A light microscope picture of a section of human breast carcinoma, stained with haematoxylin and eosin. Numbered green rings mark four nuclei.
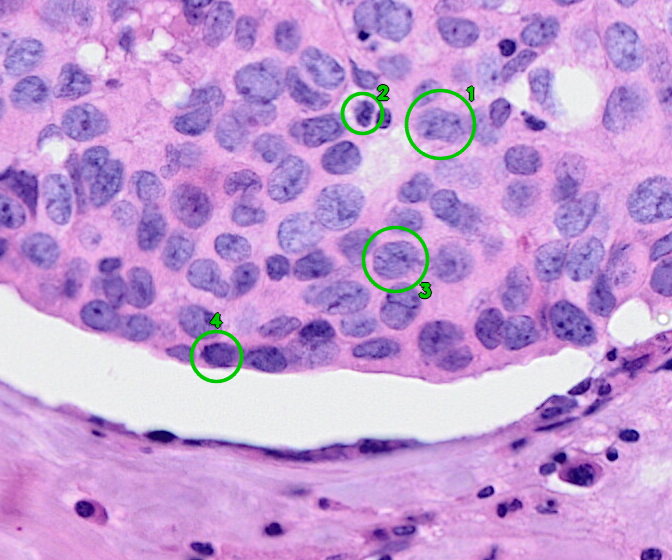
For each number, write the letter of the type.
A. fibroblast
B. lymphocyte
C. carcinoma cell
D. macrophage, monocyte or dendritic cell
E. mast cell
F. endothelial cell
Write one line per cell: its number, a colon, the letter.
1: C
2: B
3: C
4: C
